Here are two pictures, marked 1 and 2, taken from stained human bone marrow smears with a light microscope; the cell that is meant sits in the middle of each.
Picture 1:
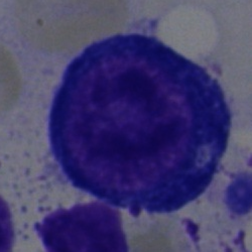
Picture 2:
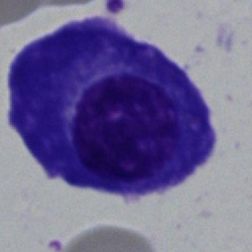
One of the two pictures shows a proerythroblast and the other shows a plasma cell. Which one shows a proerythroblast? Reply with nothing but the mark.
1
